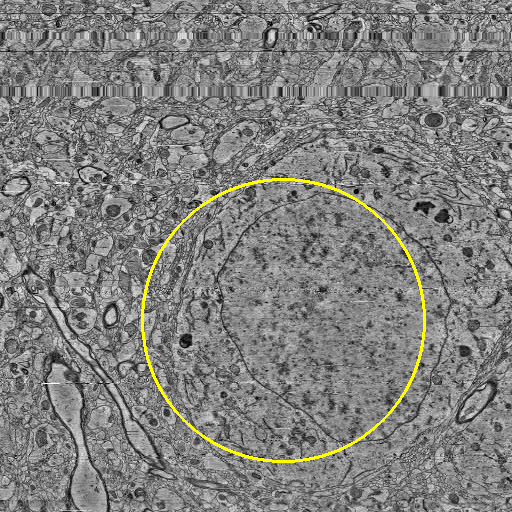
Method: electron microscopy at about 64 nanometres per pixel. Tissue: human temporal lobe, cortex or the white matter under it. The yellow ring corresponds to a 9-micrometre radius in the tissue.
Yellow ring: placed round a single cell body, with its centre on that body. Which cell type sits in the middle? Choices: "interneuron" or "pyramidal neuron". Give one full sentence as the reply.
It is a pyramidal neuron whose cell body sits at the centre of the yellow ring.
